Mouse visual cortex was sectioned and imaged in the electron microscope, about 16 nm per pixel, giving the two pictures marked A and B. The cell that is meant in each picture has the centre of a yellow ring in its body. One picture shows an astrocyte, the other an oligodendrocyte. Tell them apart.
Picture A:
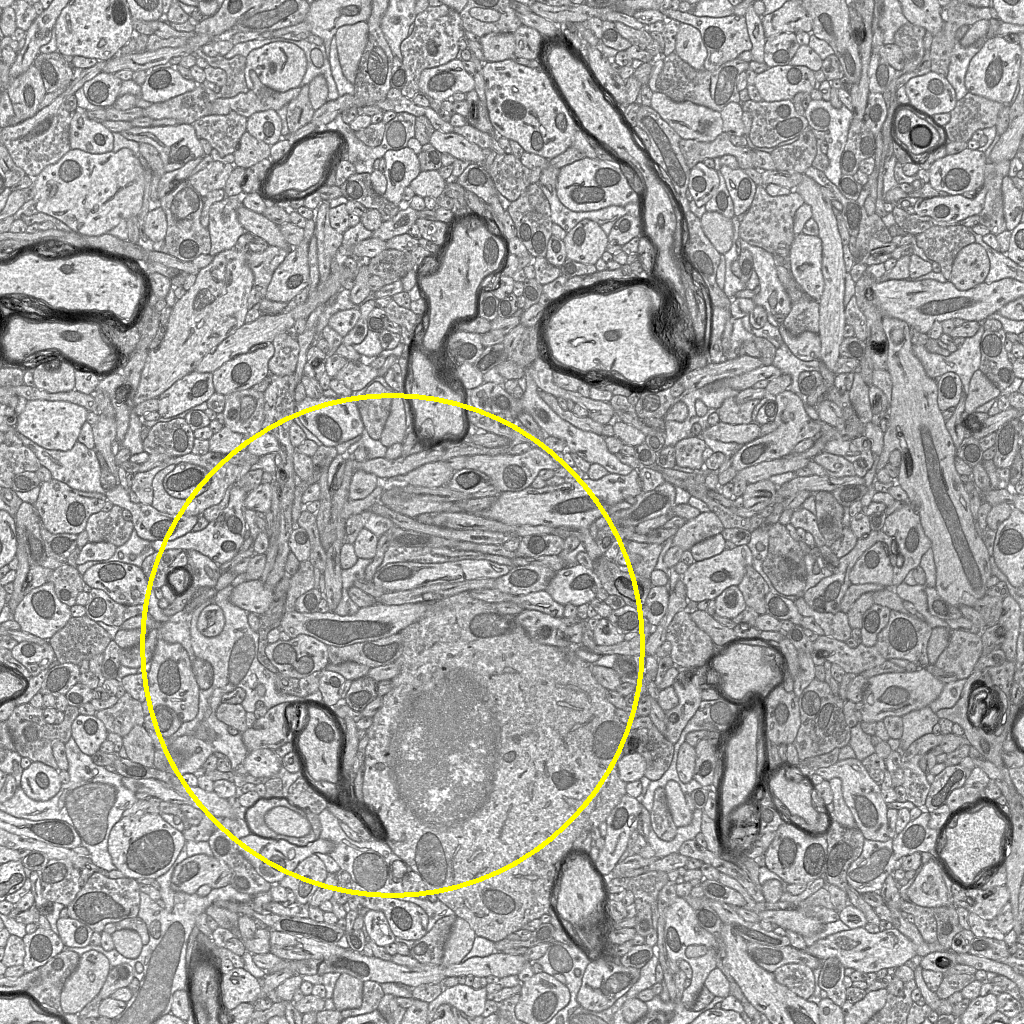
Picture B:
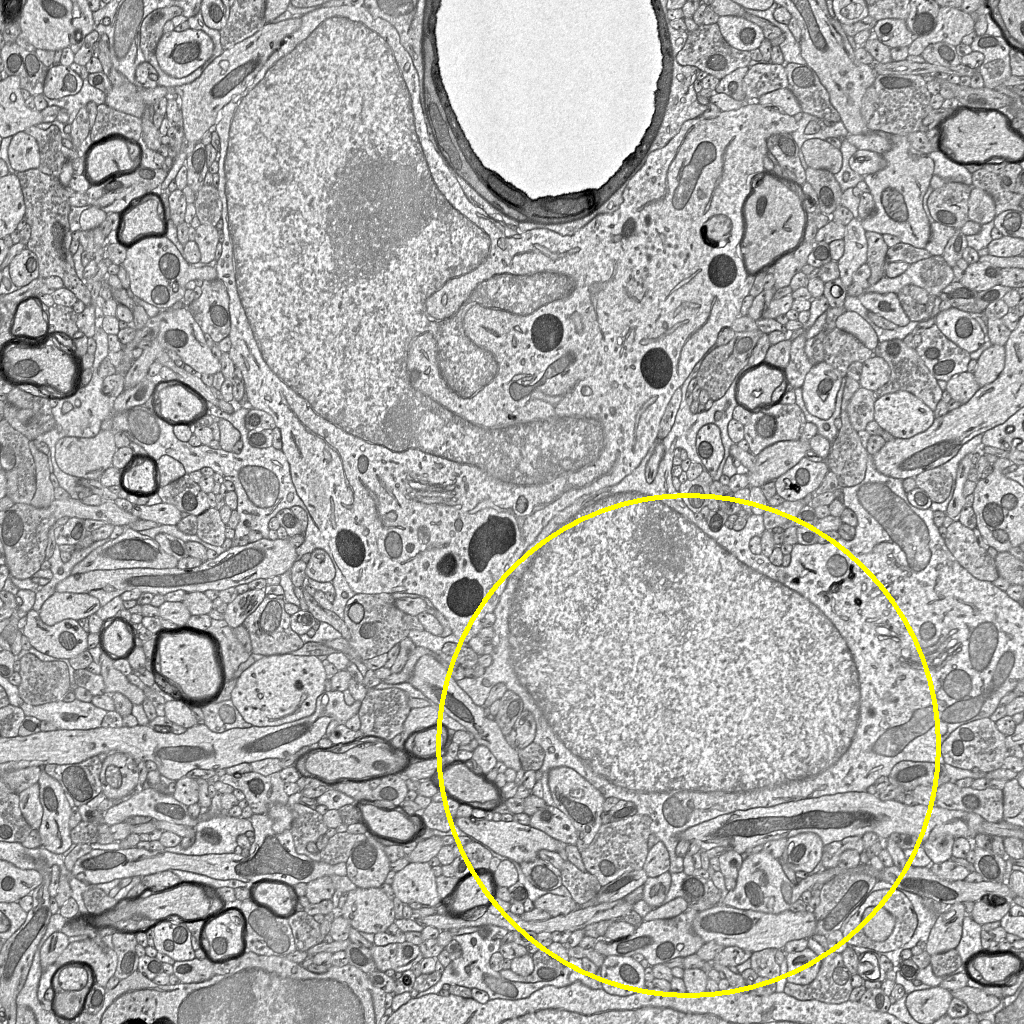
The cell in picture A is an oligodendrocyte, and the one in picture B is an astrocyte.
